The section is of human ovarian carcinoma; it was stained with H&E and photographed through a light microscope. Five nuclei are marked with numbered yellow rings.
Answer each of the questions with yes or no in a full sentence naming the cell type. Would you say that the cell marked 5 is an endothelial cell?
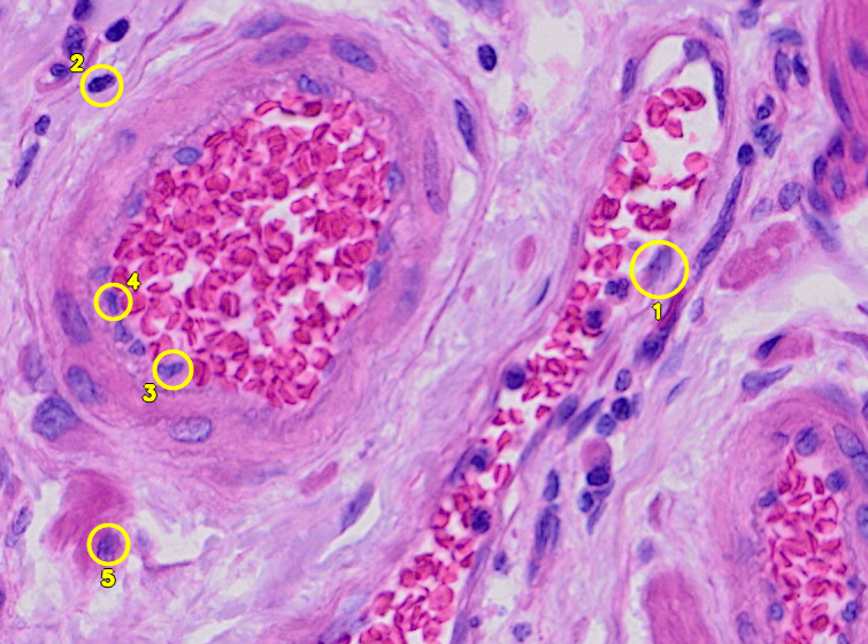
No, at number 5 sits a smooth muscle cell, not an endothelial cell.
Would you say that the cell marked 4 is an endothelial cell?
Yes, looking at number 4, that cell is an endothelial cell.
